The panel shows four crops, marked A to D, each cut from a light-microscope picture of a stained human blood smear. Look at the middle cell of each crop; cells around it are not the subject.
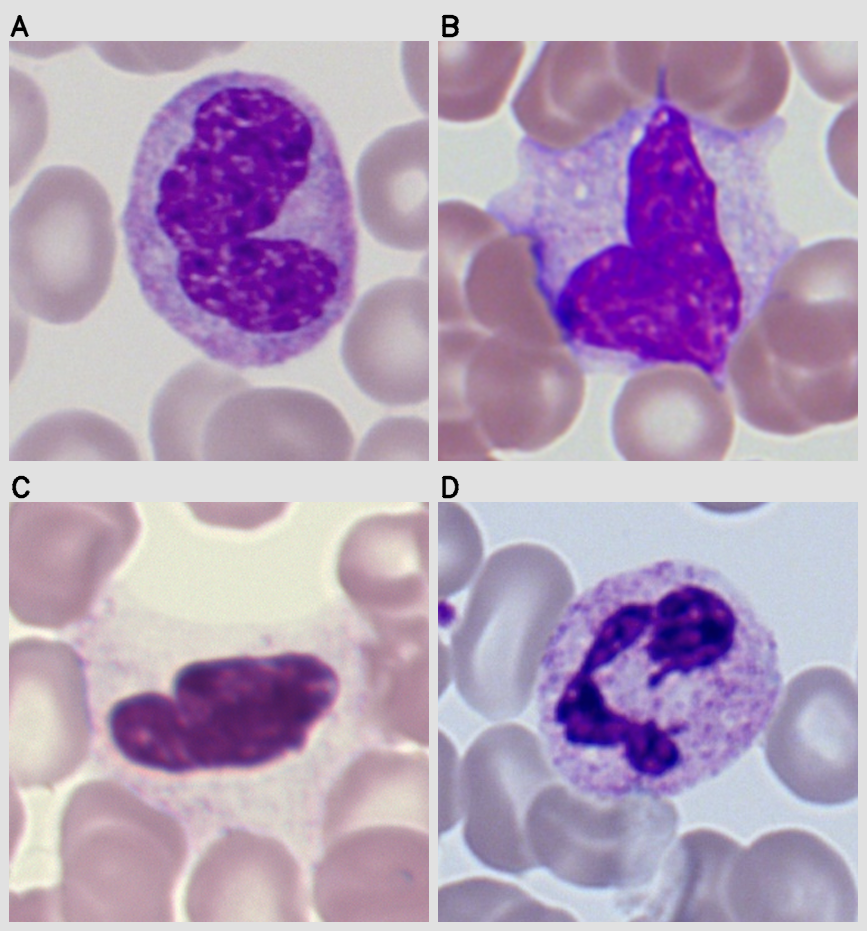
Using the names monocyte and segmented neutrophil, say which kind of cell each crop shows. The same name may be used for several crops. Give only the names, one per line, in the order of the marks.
monocyte
monocyte
segmented neutrophil
segmented neutrophil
